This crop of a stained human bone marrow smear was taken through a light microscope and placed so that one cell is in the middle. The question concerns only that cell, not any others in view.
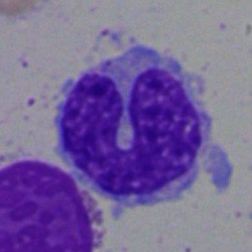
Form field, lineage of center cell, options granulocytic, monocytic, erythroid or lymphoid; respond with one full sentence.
That the central cell belongs to the monocytic lineage is the finding here.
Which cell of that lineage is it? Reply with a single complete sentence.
The cell under consideration, at the middle of the crop, is a monocyte.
